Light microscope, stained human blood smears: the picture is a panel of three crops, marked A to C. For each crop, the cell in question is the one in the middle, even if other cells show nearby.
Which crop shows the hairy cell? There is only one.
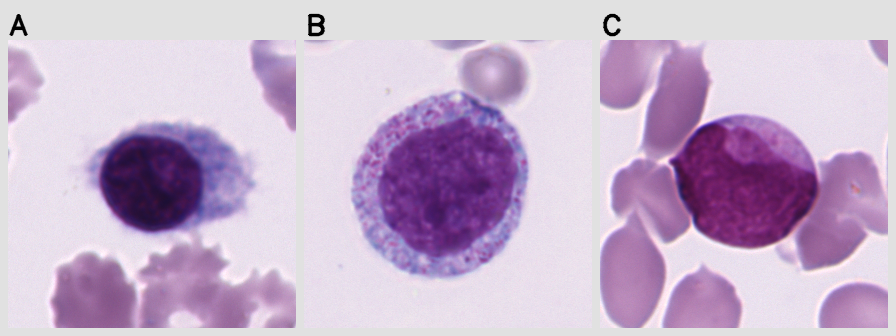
A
